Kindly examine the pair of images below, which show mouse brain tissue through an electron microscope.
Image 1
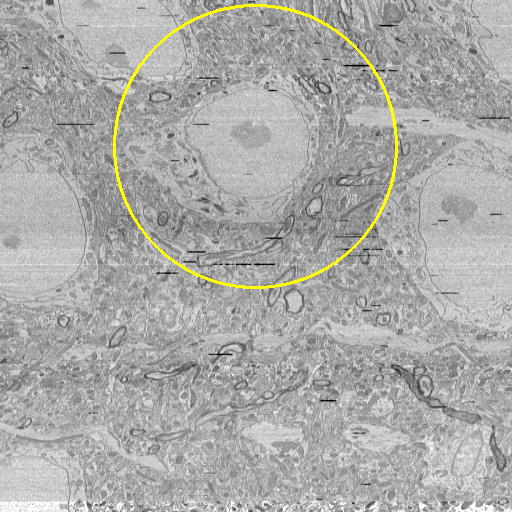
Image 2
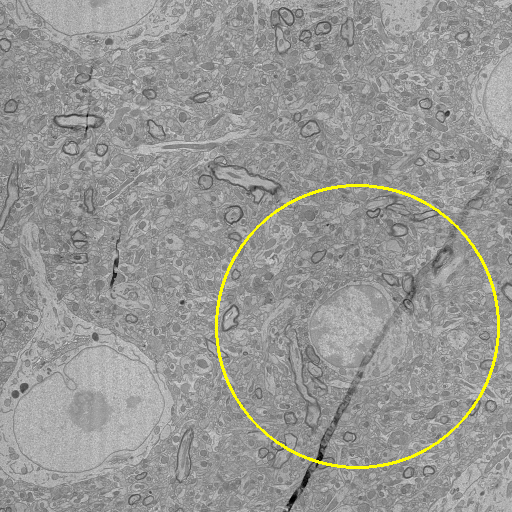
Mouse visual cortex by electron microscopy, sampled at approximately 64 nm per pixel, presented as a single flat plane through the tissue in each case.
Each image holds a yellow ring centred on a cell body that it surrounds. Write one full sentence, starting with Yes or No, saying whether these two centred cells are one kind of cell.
No, the cells at the centres of the yellow rings belong to two kinds of cell.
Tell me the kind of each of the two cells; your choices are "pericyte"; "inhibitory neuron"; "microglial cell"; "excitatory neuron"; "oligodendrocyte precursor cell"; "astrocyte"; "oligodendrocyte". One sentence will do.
The ringed cell is an excitatory neuron in the first picture and an oligodendrocyte in the second picture.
